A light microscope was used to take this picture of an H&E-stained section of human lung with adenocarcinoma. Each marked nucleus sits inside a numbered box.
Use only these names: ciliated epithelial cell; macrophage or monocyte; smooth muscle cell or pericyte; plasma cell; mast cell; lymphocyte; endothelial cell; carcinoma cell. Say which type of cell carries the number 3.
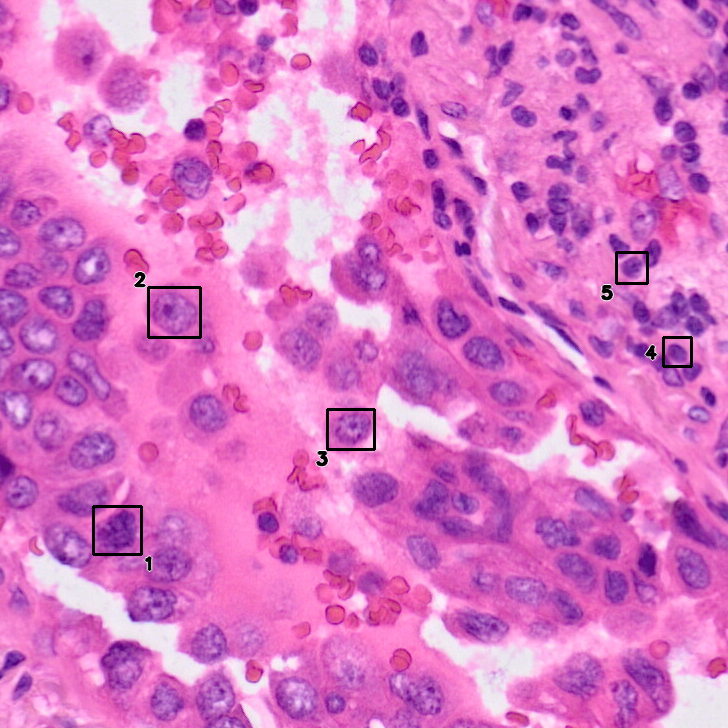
carcinoma cell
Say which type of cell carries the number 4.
lymphocyte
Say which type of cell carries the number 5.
lymphocyte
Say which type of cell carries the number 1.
carcinoma cell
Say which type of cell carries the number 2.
carcinoma cell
